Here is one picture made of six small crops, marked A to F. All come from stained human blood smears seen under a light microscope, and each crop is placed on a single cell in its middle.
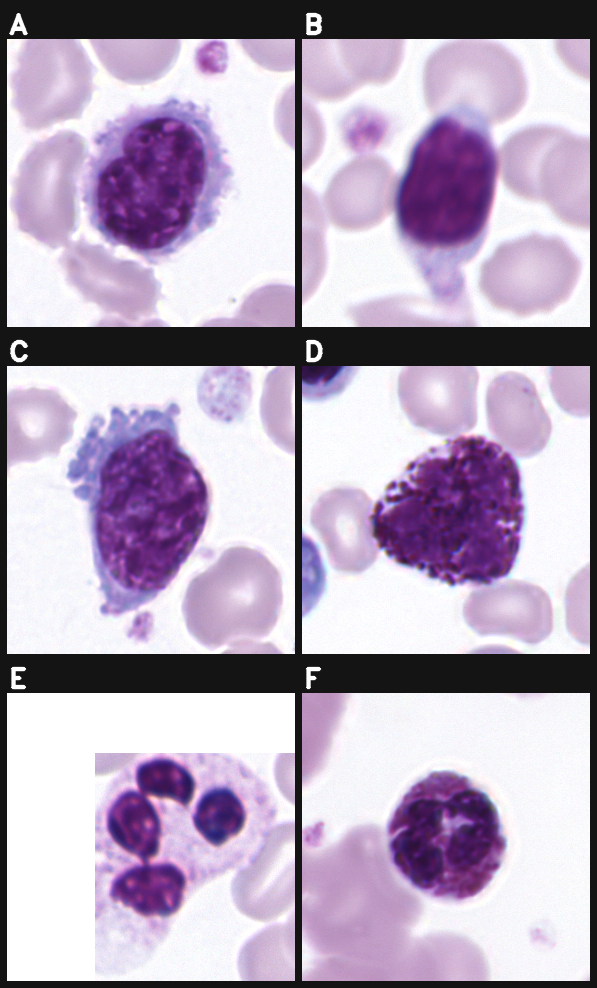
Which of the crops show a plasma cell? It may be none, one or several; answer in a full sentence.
Of the crops in this set, A and C show plasma cells.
